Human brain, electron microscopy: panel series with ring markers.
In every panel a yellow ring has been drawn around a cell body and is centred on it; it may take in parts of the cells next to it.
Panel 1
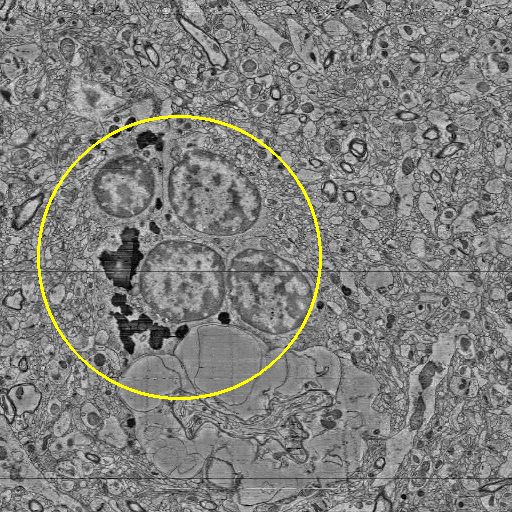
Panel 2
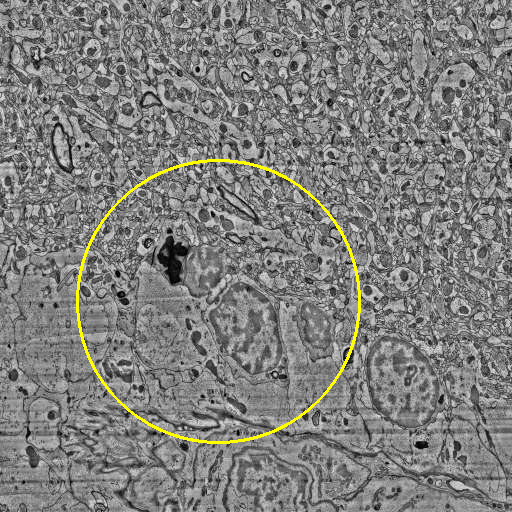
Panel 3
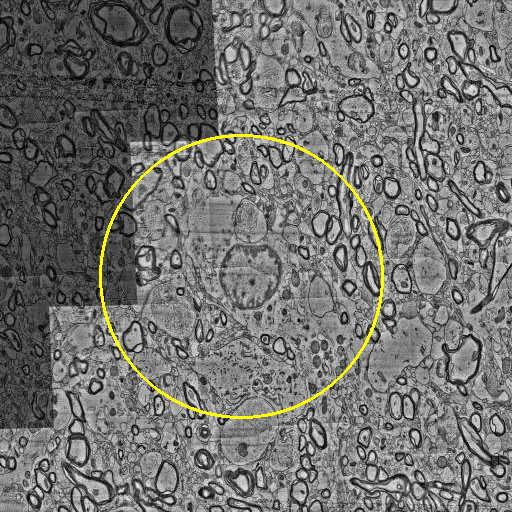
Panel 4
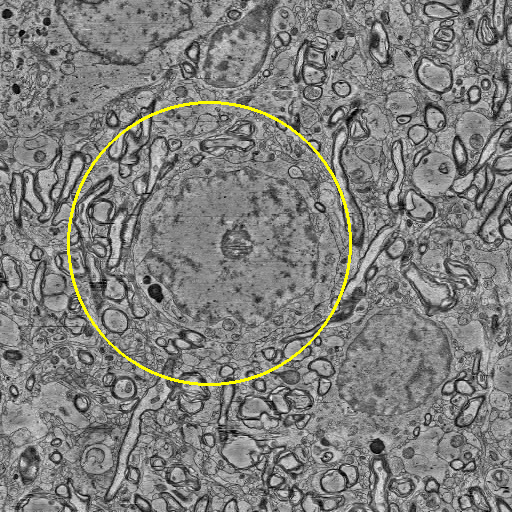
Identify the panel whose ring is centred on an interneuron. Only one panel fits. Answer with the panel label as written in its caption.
Panel 4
